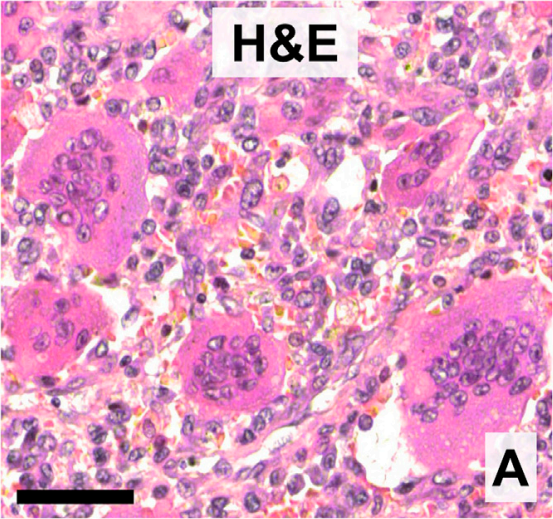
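This tumor tissue is made of multinucleated giant cells scattered among mononuclear cells and red blood cells. The giant cells are large and rounded to irregular, with abundant pink cytoplasm and many oval nuclei crowded toward their centers. They vary in size across the field. Between them lie densely packed small cells with single oval dark nuclei, along with scattered red blood cells and small clear spaces.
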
